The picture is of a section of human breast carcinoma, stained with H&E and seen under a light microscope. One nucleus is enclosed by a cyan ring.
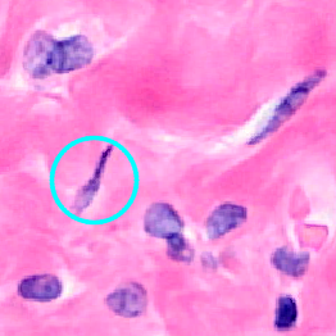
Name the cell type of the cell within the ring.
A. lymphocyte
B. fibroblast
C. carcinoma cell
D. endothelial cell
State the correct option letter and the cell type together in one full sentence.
As the cell within the ring is a fibroblast, the correct choice is option B.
